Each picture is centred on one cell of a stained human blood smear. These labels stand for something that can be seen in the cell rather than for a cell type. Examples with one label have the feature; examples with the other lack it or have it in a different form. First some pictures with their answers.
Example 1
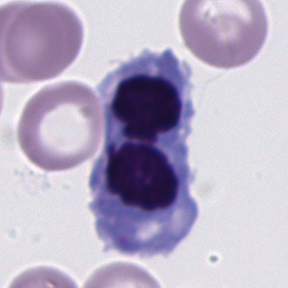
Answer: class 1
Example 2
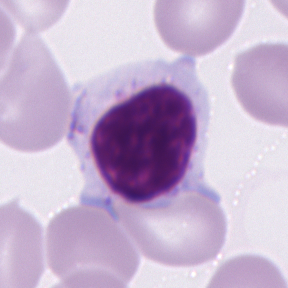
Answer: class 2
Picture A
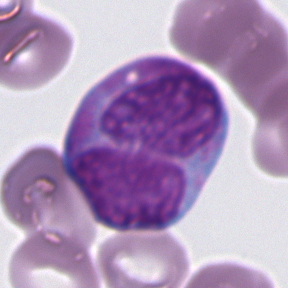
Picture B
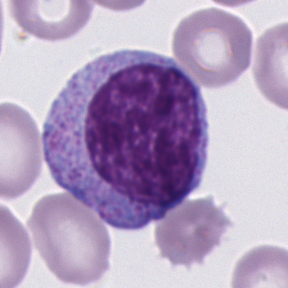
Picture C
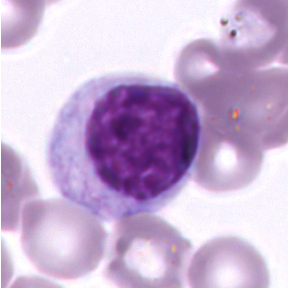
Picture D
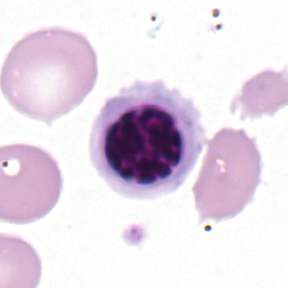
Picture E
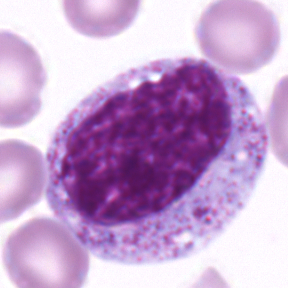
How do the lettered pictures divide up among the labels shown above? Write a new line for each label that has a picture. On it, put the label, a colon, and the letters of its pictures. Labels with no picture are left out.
class 1: A, E
class 2: B, C, D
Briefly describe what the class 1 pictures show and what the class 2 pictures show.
Seen in class 1: vacuoles present; seen in class 2: no vacuoles.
